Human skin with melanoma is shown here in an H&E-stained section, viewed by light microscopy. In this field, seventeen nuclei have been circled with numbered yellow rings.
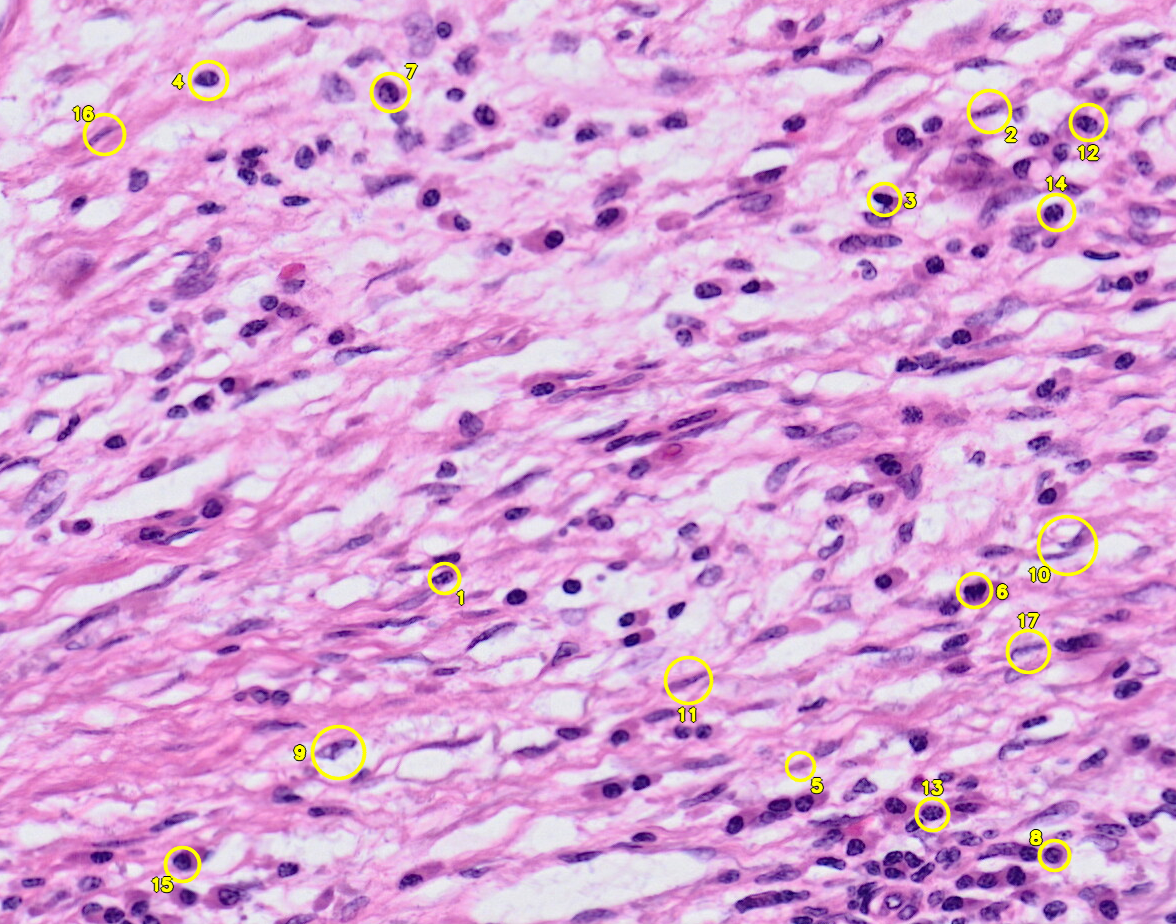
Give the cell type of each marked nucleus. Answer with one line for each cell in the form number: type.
1: plasma cell
2: fibroblast or myofibroblast
3: plasma cell
4: lymphocyte
5: fibroblast or myofibroblast
6: plasma cell
7: plasma cell
8: plasma cell
9: fibroblast or myofibroblast
10: fibroblast or myofibroblast
11: fibroblast or myofibroblast
12: plasma cell
13: plasma cell
14: plasma cell
15: plasma cell
16: fibroblast or myofibroblast
17: fibroblast or myofibroblast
